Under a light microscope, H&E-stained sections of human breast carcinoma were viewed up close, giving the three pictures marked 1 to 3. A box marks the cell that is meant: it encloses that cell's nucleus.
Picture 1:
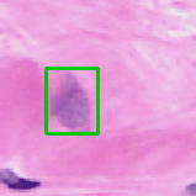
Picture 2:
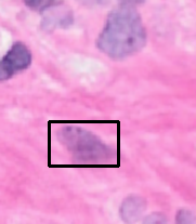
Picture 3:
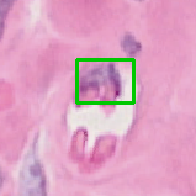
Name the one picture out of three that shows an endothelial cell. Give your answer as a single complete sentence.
The endothelial cell is the one in picture 3.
